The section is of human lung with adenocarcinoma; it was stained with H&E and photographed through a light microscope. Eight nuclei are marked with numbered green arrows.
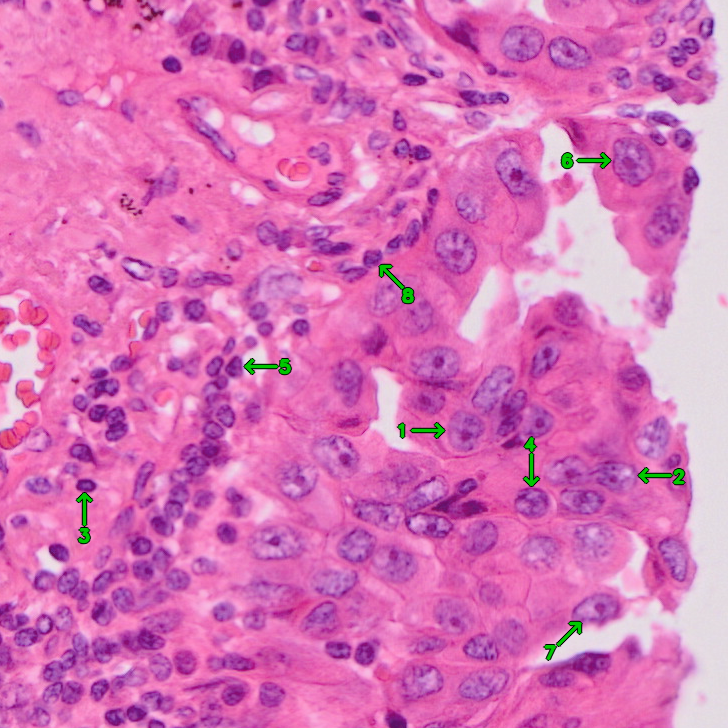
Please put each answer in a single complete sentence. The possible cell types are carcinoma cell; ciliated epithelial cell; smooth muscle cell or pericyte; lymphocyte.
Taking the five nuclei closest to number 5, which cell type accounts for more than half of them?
Around number 5, most of the five nearest nuclei are those of lymphocytes.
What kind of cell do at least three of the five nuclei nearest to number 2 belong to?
Around number 2, most of the five nearest nuclei are those of carcinoma cells.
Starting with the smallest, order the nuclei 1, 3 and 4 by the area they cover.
Smallest first, the nuclei run 3, 4, 1.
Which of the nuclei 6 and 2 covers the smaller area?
Number 2 is smaller, since number 6 takes up about 1.5 times as much area.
